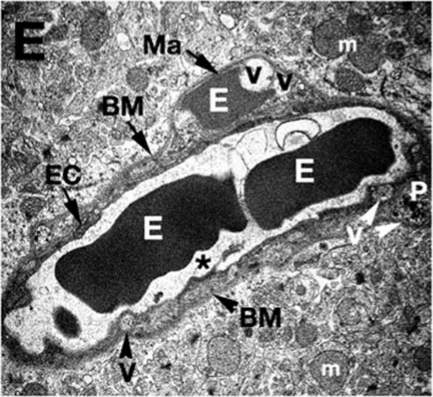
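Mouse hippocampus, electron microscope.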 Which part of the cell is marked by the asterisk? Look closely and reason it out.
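Small projections protrude from the lining into the lumen there.
Microvilli.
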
